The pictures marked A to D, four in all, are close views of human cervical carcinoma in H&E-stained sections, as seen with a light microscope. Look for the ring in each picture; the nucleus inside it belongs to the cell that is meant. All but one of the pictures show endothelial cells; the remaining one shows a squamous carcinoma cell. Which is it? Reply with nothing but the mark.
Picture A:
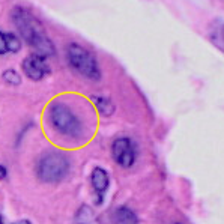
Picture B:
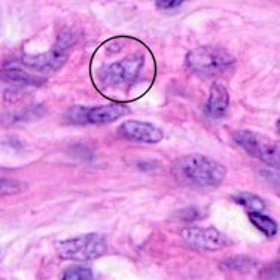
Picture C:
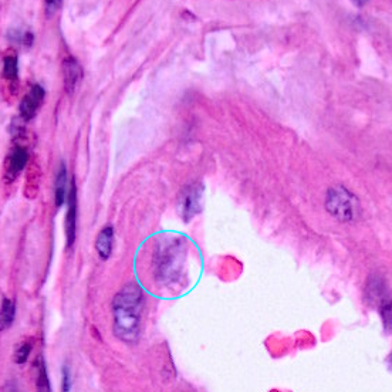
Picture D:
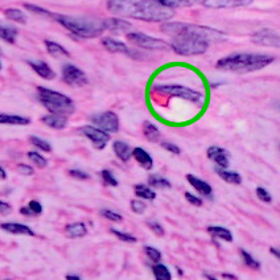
A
